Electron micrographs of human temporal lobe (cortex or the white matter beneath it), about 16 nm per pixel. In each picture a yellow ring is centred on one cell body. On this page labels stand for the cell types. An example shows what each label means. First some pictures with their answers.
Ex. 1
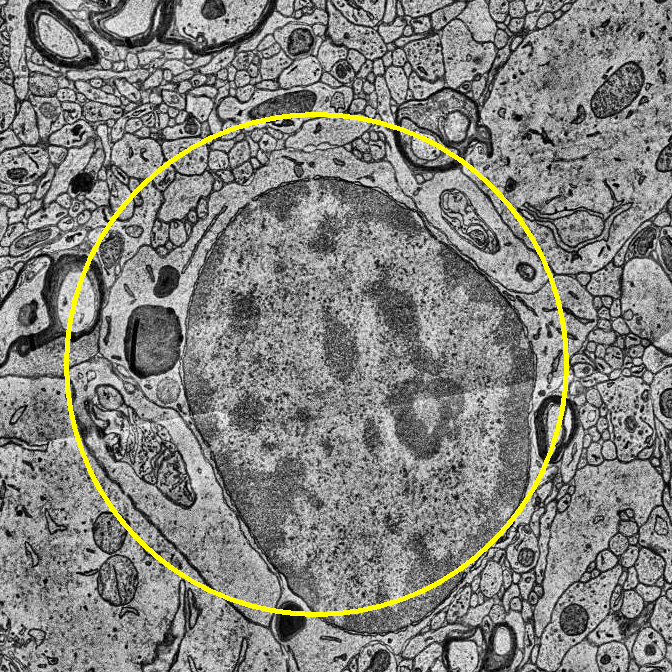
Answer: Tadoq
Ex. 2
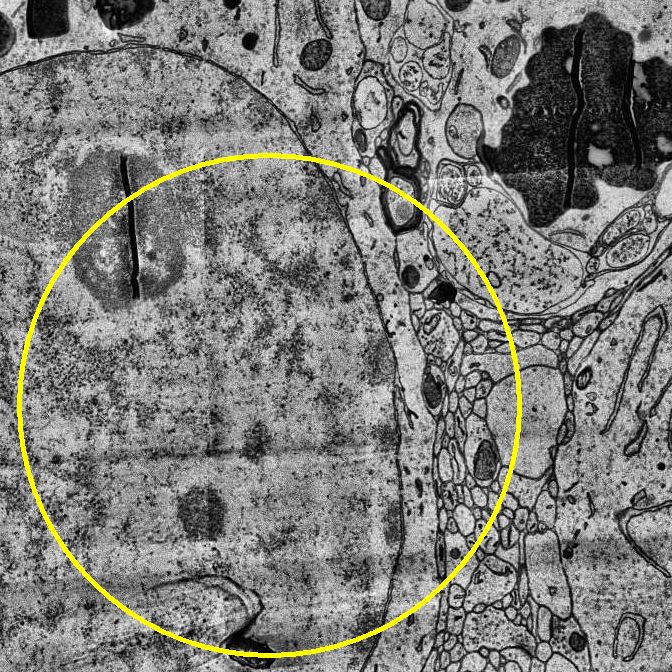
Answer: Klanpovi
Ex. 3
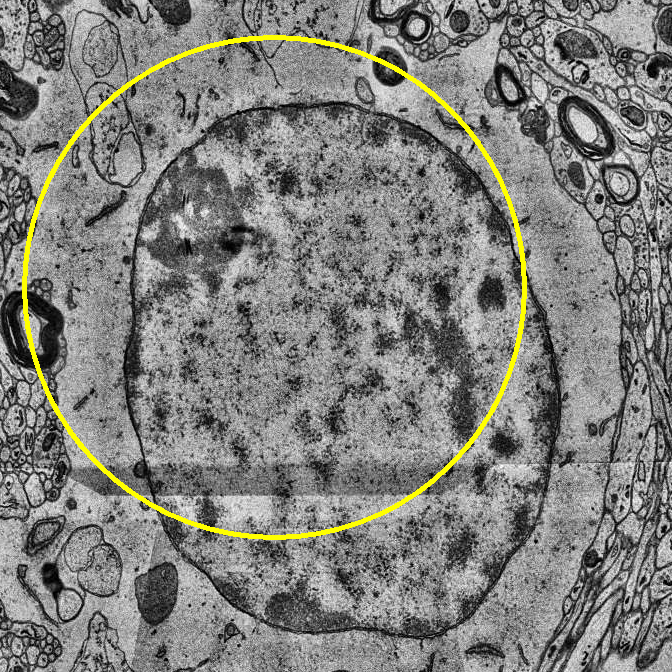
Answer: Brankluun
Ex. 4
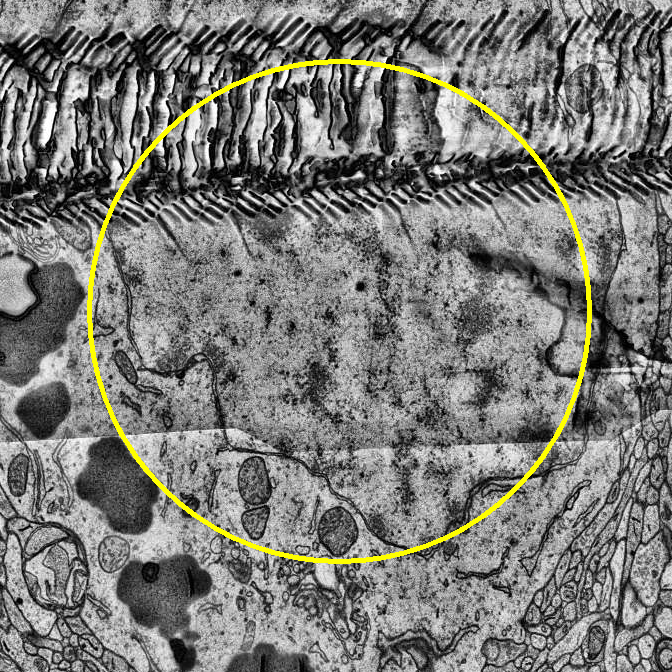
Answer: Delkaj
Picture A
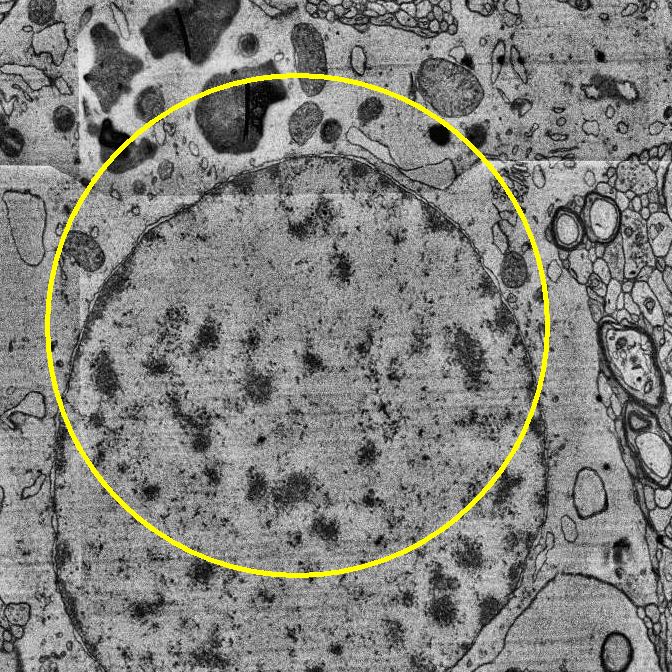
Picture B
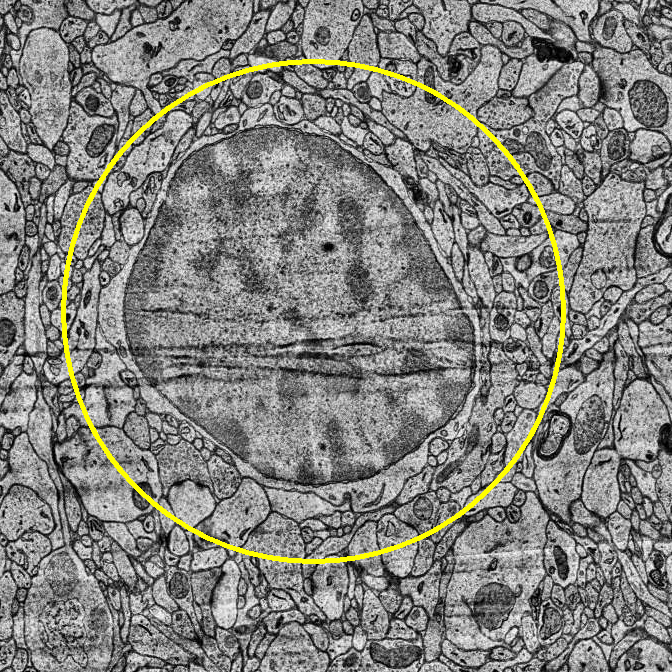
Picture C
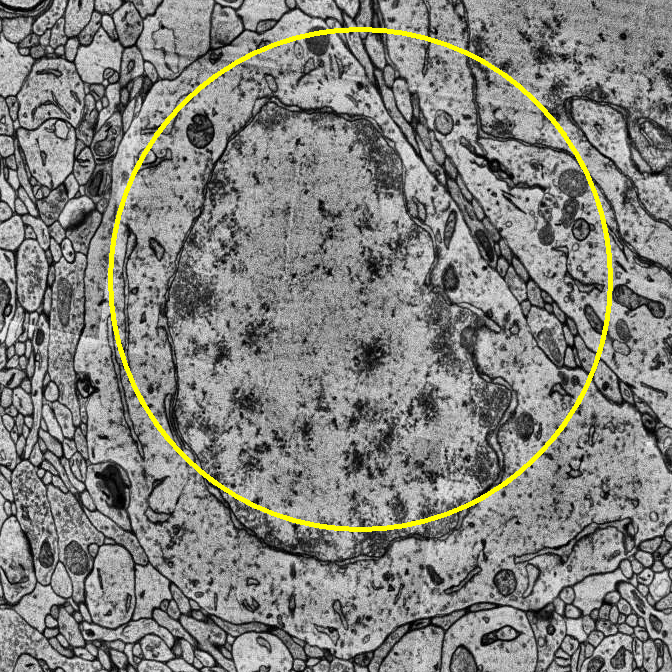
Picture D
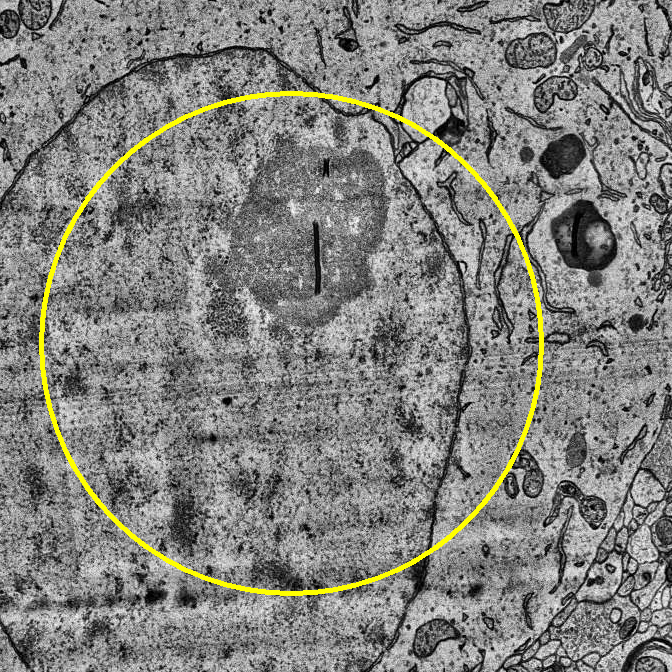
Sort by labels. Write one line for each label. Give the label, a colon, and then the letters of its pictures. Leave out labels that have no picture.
Tadoq: B
Klanpovi: D
Brankluun: A
Delkaj: C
